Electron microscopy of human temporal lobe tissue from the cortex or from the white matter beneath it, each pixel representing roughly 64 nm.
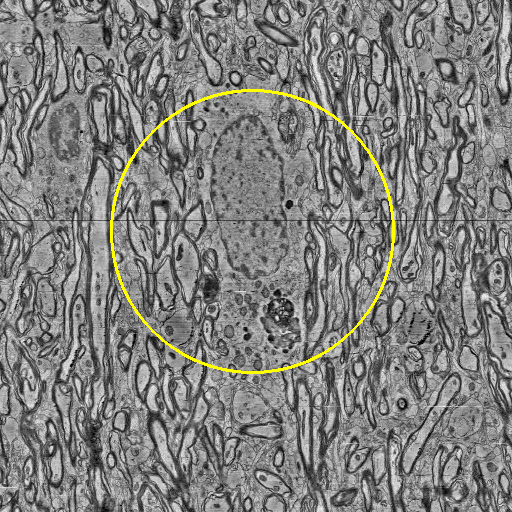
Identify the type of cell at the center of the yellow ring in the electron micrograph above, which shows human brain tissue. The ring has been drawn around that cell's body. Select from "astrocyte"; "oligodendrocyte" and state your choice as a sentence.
The yellow ring is centered on the body of an astrocyte.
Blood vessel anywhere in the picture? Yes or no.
No, there is no blood vessel in the image.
